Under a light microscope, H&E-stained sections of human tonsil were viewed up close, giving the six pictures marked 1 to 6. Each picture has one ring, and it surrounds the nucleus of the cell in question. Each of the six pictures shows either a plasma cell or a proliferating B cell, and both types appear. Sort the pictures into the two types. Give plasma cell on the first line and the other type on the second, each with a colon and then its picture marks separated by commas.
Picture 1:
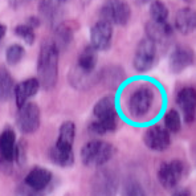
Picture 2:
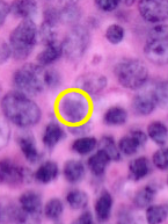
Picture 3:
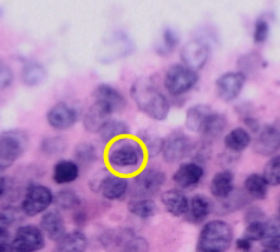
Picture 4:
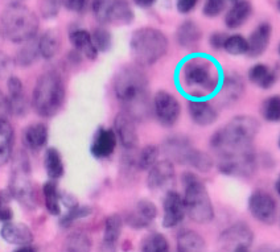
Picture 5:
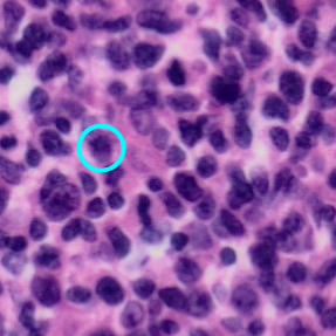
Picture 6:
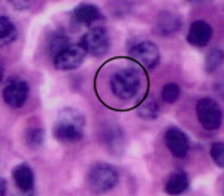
plasma cell: 1, 6
proliferating B cell: 2, 3, 4, 5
